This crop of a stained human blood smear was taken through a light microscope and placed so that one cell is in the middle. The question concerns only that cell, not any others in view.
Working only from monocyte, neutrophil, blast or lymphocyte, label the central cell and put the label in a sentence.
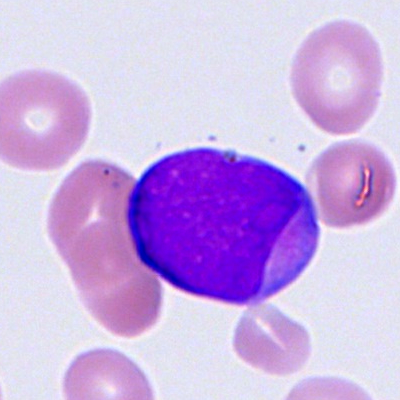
In the middle of this smear crop is a blast.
